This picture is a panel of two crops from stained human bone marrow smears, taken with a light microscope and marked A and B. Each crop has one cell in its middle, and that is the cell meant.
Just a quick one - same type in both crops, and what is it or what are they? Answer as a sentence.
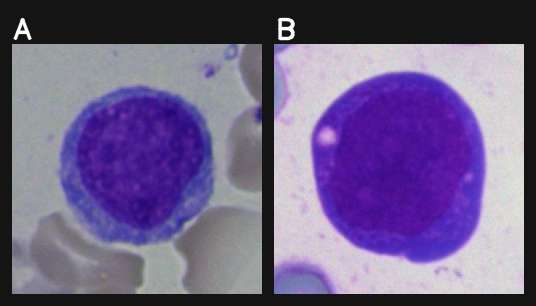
Yes, the middle cells in the two crops are blasts.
